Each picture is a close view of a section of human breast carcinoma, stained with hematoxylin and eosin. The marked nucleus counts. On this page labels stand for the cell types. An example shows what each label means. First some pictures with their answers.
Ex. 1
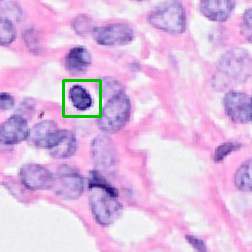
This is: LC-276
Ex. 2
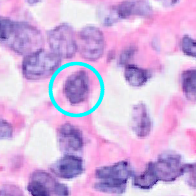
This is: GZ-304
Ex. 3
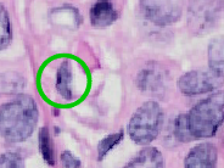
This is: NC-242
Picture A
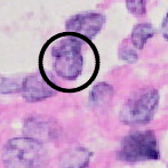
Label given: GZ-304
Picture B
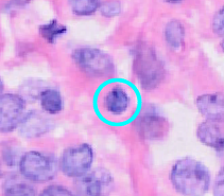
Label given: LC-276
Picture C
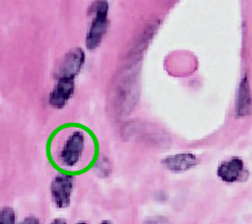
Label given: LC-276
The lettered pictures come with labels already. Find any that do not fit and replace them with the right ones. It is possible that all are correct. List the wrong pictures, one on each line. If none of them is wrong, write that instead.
All correct.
